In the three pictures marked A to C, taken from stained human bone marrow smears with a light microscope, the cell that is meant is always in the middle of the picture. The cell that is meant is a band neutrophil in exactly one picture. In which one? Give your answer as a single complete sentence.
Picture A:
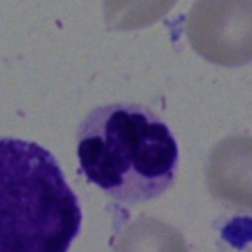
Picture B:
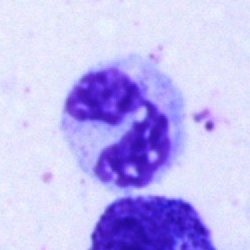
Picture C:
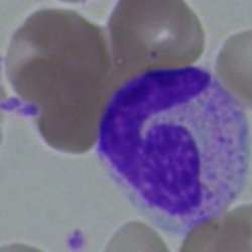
It is picture C that shows the band neutrophil.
